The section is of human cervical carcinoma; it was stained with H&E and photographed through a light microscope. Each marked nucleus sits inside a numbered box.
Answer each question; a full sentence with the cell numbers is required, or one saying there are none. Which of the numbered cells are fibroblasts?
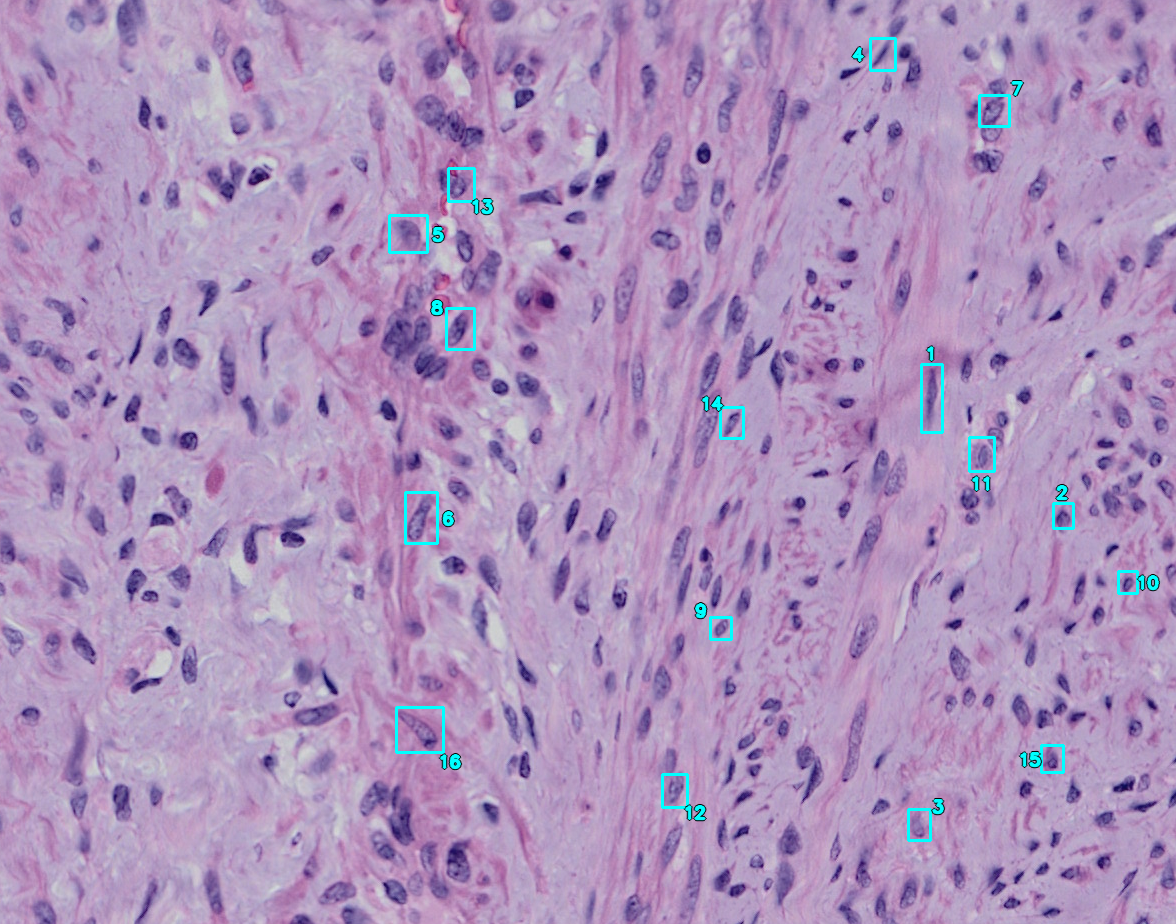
Within the section, cells numbered 1 and 4 are fibroblasts.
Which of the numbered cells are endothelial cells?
The cells that have numbers 5, 7, 8, 11 and 13 are endothelial cells.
